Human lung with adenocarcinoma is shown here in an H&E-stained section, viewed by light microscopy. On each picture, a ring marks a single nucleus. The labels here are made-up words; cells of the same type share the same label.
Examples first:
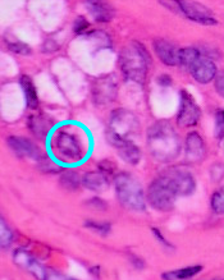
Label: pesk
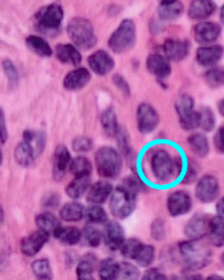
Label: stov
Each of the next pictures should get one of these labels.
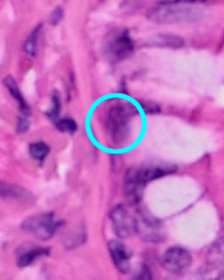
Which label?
pesk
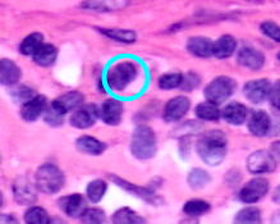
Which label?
stov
